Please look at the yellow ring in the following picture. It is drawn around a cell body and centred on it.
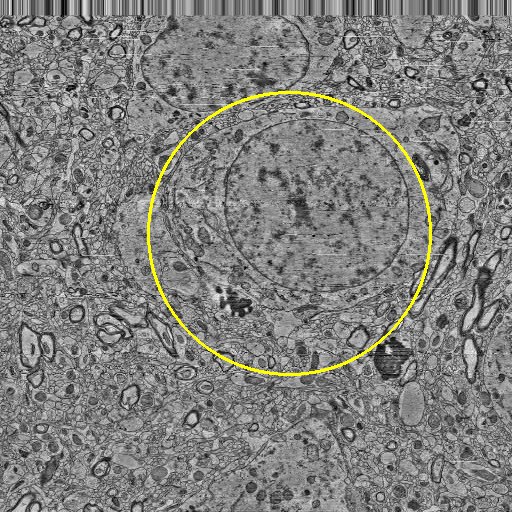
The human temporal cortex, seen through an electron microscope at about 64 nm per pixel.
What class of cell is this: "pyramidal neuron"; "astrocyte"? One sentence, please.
The ring surrounds the cell body of a pyramidal neuron.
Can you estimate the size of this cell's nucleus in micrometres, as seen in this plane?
About 12 micrometers across, in this plane.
